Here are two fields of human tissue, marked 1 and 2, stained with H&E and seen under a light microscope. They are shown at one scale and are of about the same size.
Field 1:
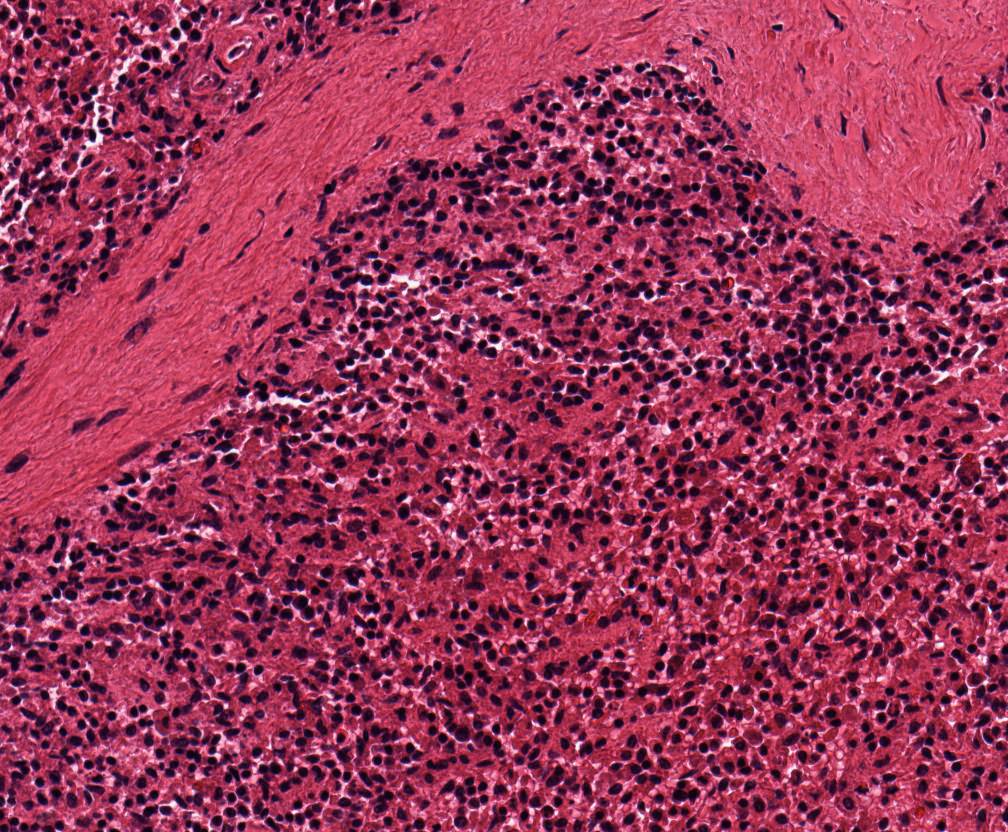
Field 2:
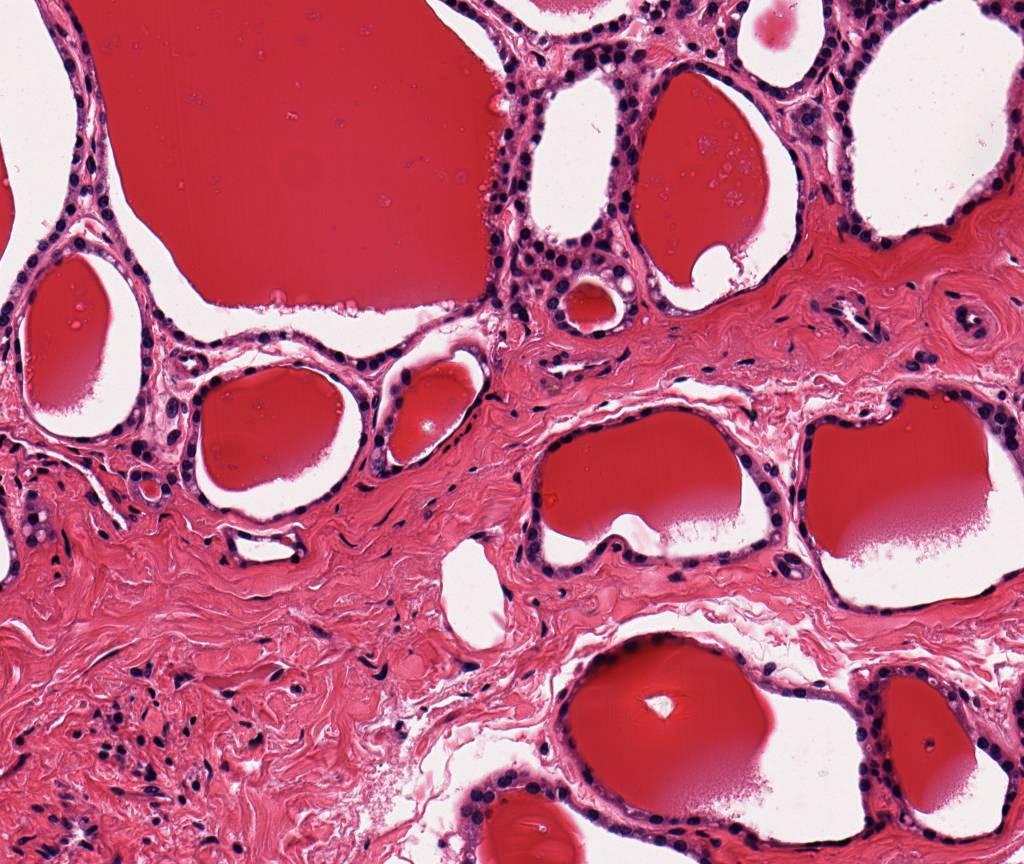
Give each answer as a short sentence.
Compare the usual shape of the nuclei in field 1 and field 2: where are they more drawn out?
The nuclei are more elongated in field 2.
